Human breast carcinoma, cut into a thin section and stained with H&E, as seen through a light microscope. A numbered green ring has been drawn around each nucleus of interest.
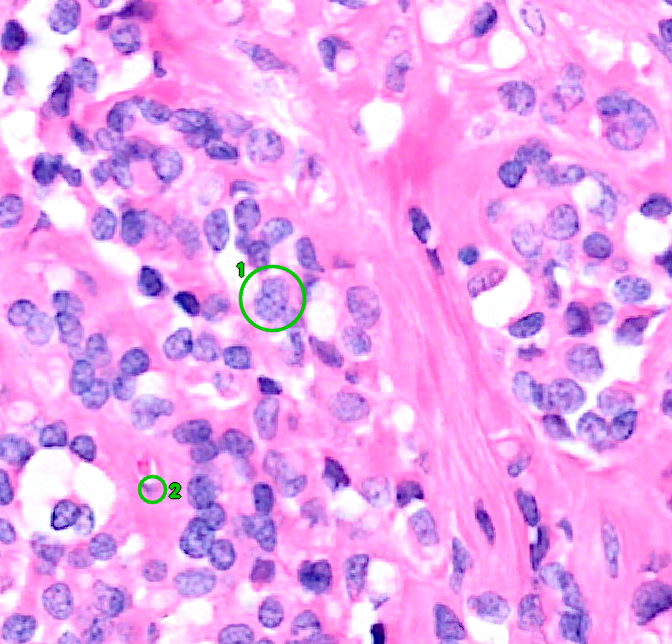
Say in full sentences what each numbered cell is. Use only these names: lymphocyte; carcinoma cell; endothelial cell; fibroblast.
Cell 1 is a carcinoma cell and cell 2 is an endothelial cell.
